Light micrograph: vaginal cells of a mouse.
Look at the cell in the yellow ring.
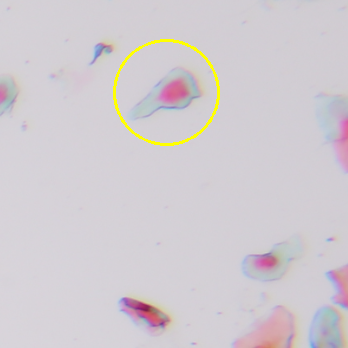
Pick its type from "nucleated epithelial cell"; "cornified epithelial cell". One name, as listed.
nucleated epithelial cell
